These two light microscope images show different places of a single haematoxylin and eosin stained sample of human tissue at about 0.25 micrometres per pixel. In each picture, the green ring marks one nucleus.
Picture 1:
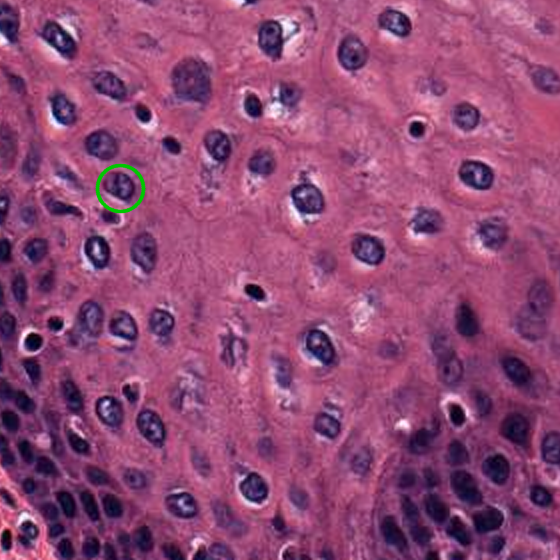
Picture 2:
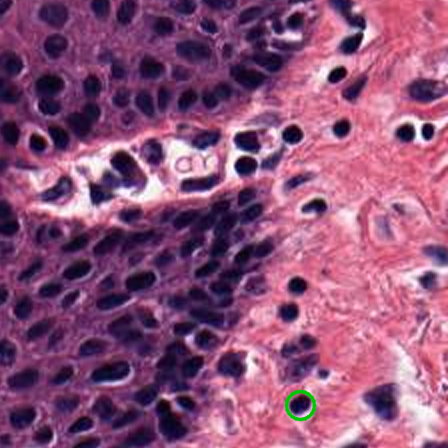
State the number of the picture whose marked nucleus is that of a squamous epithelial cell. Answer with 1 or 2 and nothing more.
1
